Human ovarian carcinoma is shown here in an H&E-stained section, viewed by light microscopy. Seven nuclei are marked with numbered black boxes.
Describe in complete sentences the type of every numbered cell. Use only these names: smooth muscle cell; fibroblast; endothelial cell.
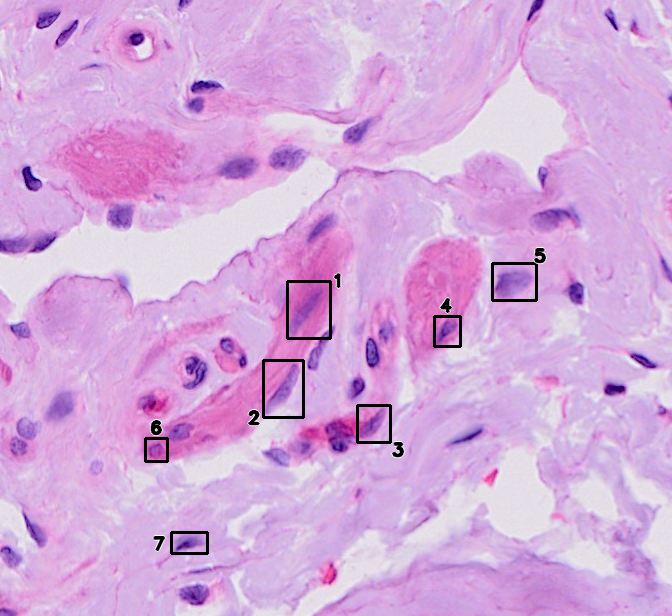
Cell 1 is a smooth muscle cell, cell 2 is a smooth muscle cell, cell 3 is an endothelial cell, cell 4 is a smooth muscle cell, cell 5 is a fibroblast, cell 6 is a smooth muscle cell and cell 7 is a fibroblast.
